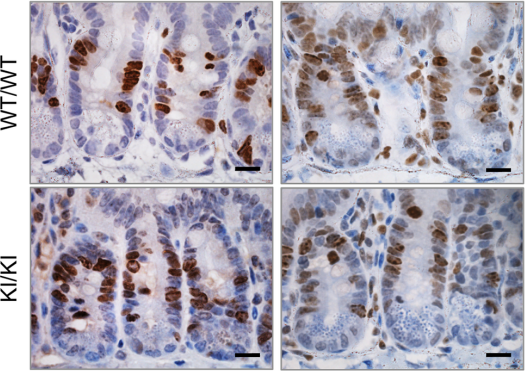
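The section shows small intestinal crypts lined by a single layer of tall columnar epithelial cells around narrow lumens. Many of the elongated epithelial nuclei are stained dark brown, while the remaining nuclei are counterstained blue. Pale, vacuolated goblet cells are scattered among the epithelial cells. Loose connective tissue lies between neighbouring crypts.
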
